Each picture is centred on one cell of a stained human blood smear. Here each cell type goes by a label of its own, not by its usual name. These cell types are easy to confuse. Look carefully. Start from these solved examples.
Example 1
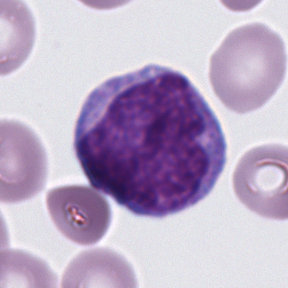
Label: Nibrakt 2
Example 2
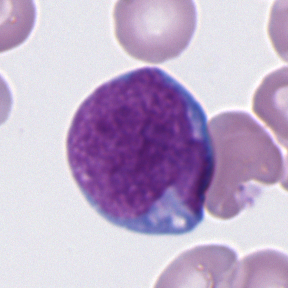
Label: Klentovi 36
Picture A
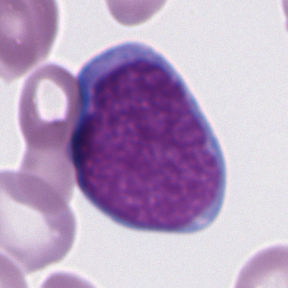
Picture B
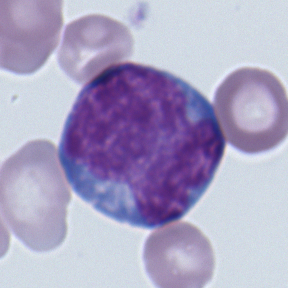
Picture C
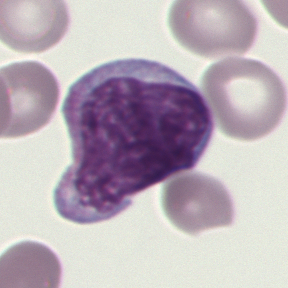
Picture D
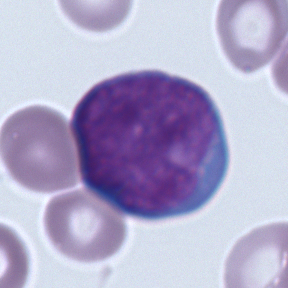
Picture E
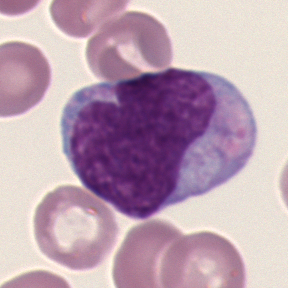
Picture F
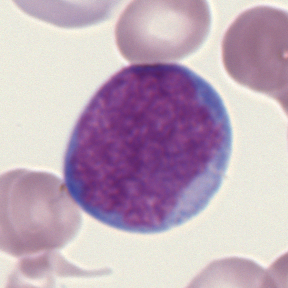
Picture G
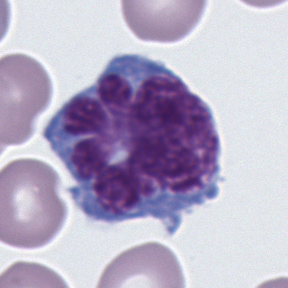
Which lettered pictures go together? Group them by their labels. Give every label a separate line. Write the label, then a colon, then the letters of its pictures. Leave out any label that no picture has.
Nibrakt 2: C, E
Klentovi 36: A, B, D, F, G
